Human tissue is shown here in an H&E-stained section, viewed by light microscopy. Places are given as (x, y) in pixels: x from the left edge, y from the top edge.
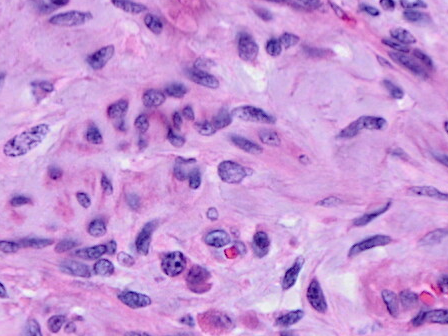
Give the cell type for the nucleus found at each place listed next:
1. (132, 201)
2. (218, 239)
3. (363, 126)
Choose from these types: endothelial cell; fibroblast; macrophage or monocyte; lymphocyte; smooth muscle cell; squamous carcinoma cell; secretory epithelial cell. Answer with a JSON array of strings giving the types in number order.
["smooth muscle cell", "endothelial cell", "fibroblast"]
